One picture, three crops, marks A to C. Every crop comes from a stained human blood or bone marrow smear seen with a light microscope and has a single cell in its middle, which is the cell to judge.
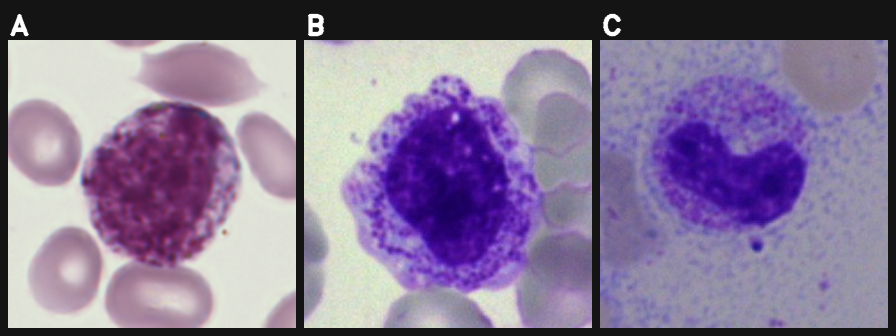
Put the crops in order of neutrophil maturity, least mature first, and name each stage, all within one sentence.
The crops, when placed from least to most mature, read crop B (a myelocyte), crop A (a metamyelocyte) and crop C (a band neutrophil).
